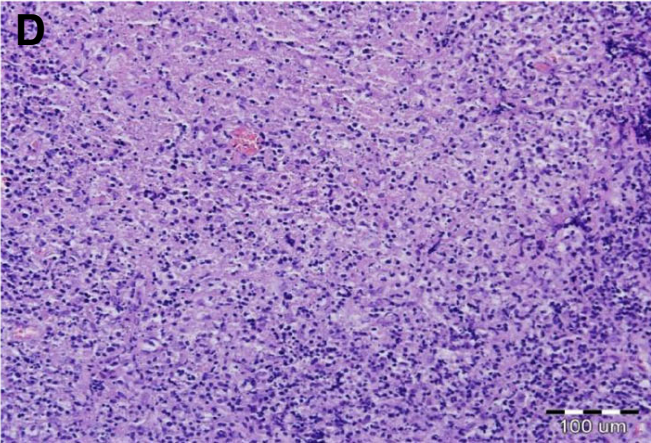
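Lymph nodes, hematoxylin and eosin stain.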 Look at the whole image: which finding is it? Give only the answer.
karyorrhectic foci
